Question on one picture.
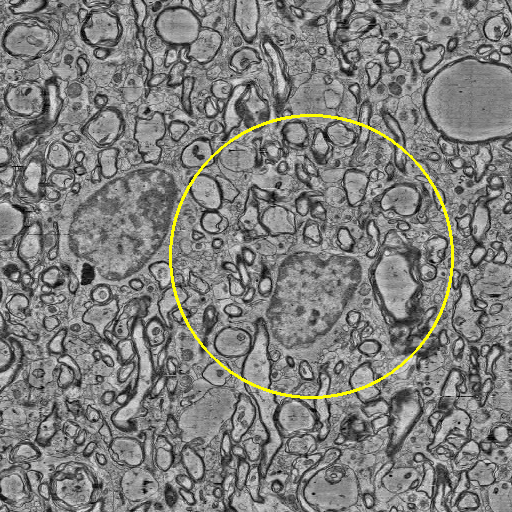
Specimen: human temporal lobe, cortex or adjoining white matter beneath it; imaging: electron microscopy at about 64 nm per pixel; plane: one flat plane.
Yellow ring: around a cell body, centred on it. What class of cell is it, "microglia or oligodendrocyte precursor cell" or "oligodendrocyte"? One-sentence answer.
This is an oligodendrocyte, the cell the ring is centred on.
